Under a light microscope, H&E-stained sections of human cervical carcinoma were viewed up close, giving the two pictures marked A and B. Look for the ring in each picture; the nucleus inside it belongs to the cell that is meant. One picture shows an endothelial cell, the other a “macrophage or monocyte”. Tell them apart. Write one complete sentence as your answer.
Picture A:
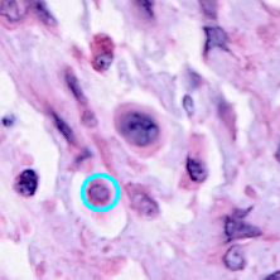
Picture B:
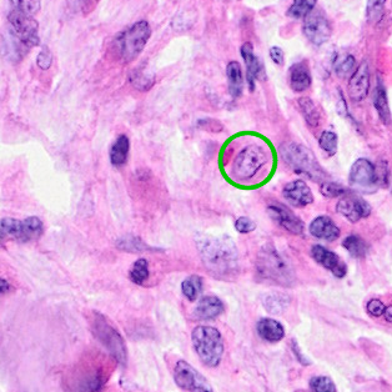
It is picture A that shows a “macrophage or monocyte”, and picture B that shows an endothelial cell.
